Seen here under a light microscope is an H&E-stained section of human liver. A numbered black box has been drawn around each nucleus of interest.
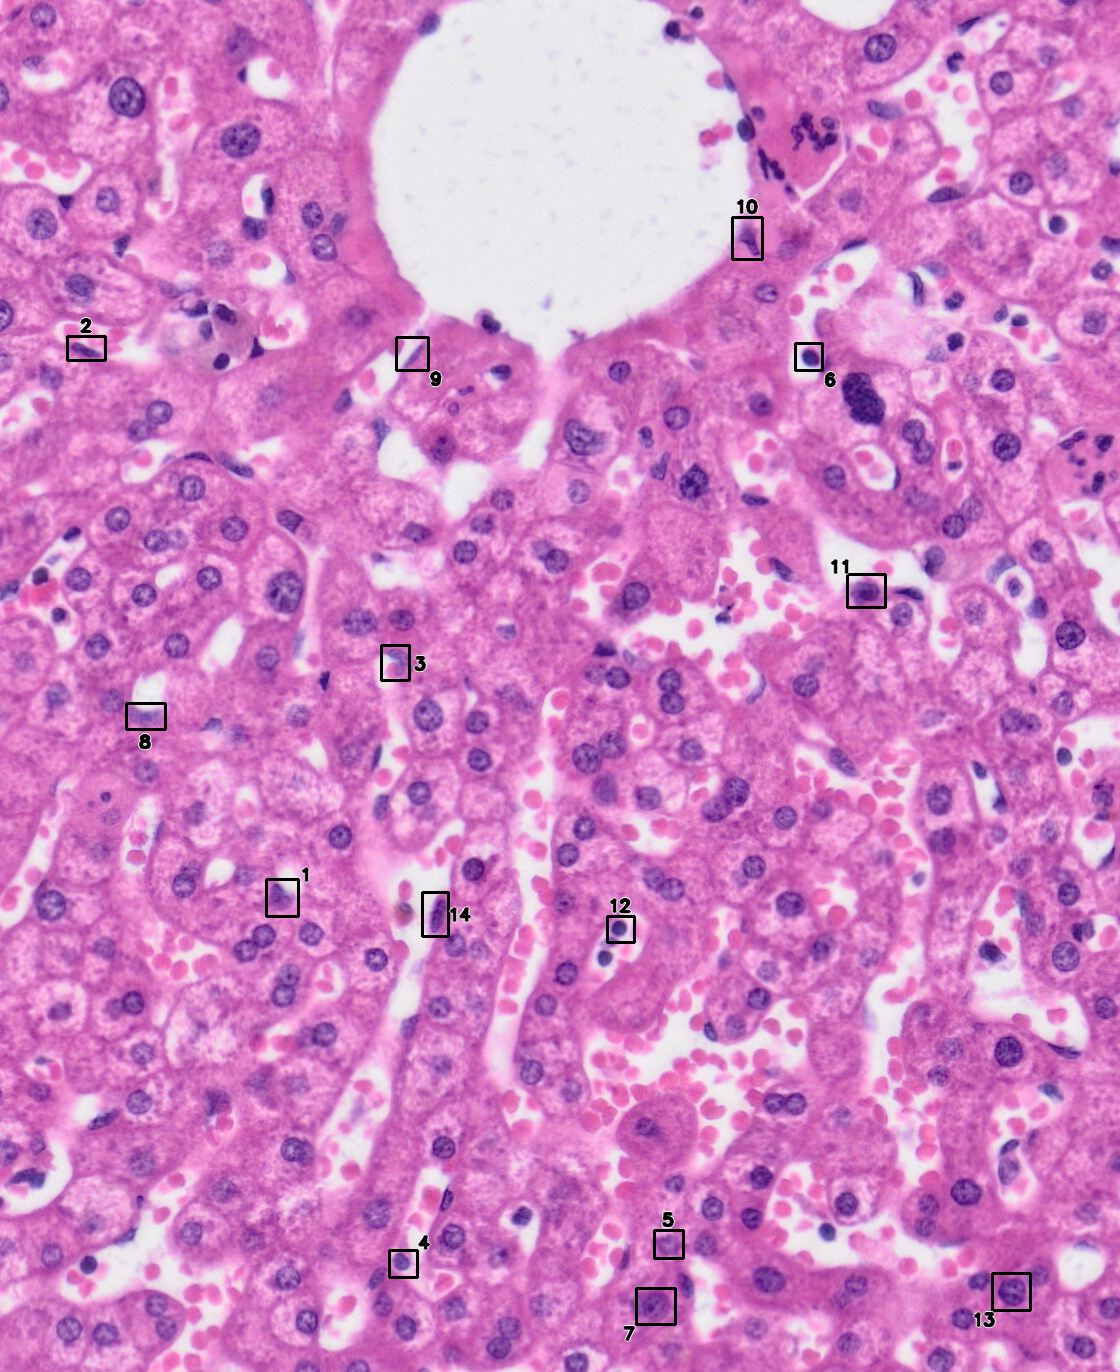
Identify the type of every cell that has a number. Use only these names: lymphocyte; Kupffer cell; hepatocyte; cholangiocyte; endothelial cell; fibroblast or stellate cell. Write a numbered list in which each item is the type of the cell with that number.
1. endothelial cell
2. endothelial cell
3. endothelial cell
4. lymphocyte
5. hepatocyte
6. lymphocyte
7. hepatocyte
8. endothelial cell
9. endothelial cell
10. fibroblast or stellate cell
11. Kupffer cell
12. lymphocyte
13. hepatocyte
14. Kupffer cell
